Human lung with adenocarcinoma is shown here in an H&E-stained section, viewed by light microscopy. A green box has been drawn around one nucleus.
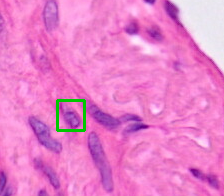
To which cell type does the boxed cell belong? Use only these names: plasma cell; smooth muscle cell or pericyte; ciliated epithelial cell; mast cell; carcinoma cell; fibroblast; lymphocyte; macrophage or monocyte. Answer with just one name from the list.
smooth muscle cell or pericyte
